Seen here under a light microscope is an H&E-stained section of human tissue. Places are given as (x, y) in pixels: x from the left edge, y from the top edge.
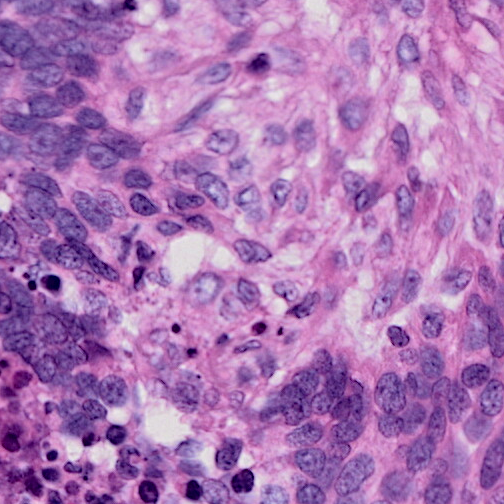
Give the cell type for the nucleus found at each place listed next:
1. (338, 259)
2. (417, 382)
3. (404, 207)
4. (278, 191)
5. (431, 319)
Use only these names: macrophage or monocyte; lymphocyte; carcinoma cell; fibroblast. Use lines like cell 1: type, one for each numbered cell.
cell 1: fibroblast
cell 2: carcinoma cell
cell 3: fibroblast
cell 4: fibroblast
cell 5: macrophage or monocyte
